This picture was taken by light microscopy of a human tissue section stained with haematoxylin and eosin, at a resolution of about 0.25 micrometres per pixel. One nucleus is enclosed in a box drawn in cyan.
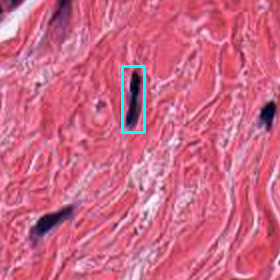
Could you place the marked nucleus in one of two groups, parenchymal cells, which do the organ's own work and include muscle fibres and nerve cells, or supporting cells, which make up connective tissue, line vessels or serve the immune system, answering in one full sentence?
A supporting cell is the owner of the marked nucleus.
